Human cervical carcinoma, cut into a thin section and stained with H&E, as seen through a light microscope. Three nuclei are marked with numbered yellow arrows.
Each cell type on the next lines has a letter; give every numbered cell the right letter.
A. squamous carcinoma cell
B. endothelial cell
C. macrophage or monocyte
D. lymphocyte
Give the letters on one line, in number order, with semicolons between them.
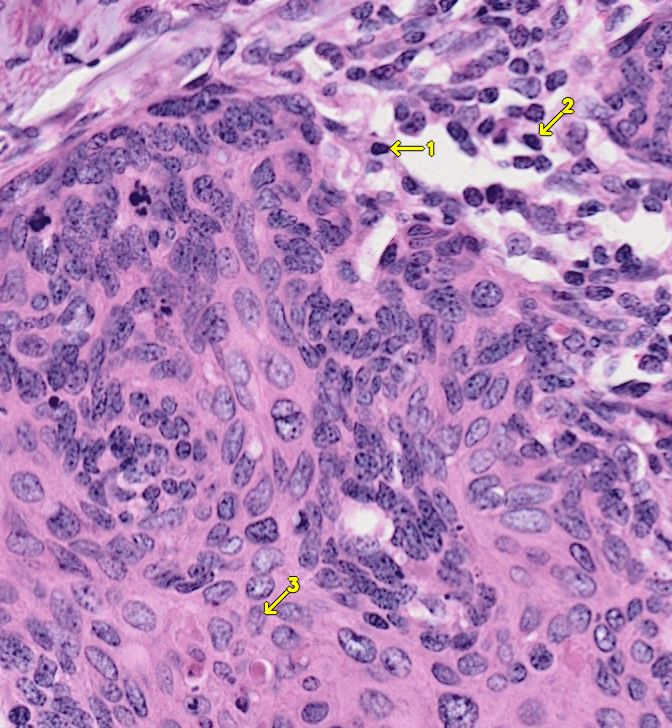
D; D; A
